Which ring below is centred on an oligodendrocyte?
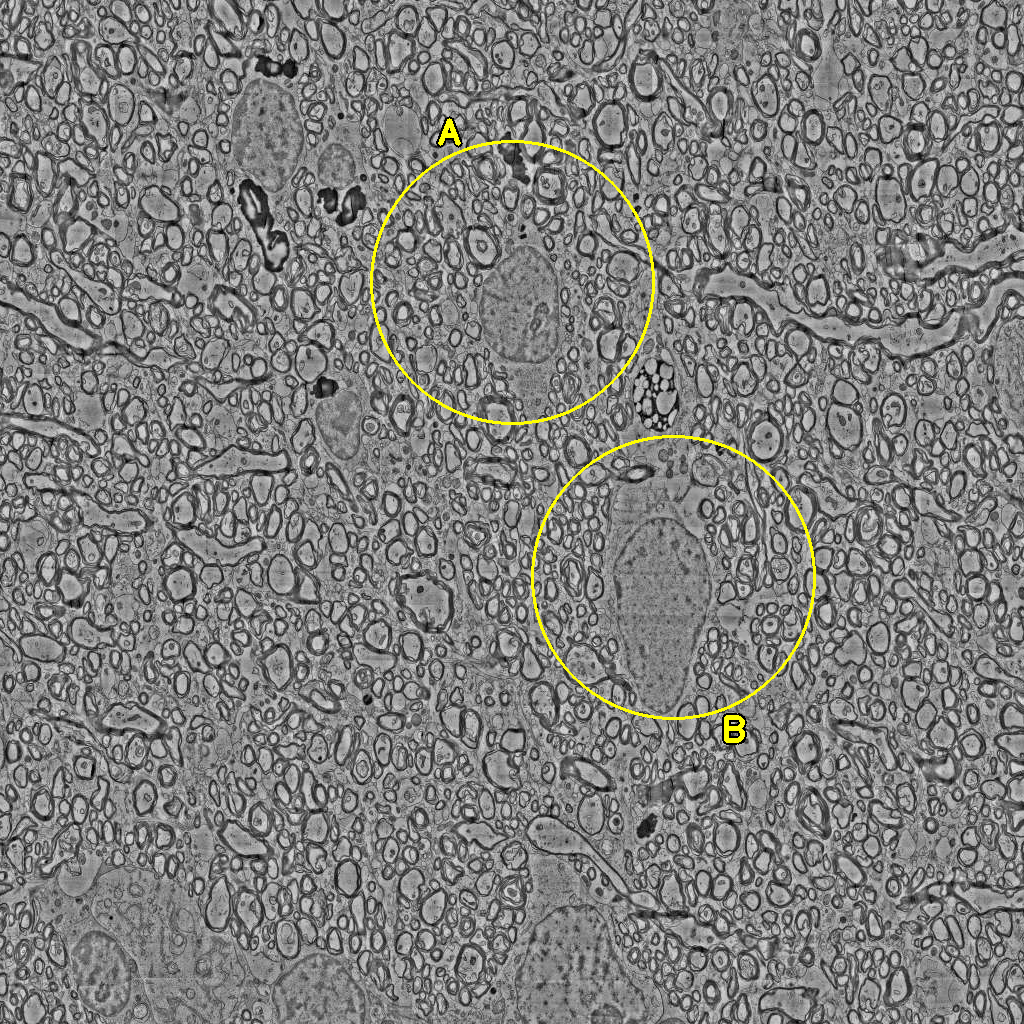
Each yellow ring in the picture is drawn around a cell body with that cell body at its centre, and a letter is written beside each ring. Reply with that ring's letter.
A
